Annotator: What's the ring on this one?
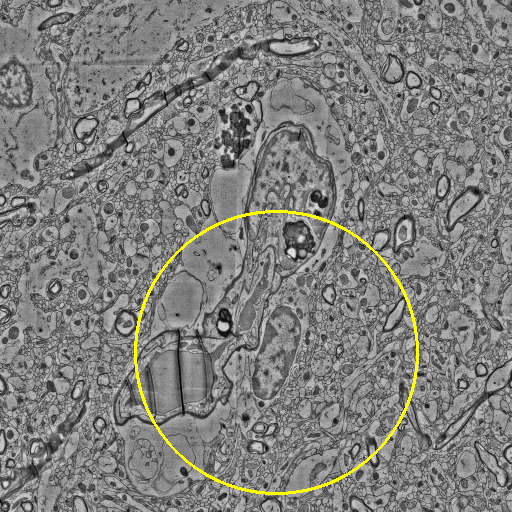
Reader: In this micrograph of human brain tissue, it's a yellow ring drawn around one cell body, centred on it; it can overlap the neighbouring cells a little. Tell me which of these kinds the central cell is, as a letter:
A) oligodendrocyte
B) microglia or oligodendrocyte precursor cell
B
